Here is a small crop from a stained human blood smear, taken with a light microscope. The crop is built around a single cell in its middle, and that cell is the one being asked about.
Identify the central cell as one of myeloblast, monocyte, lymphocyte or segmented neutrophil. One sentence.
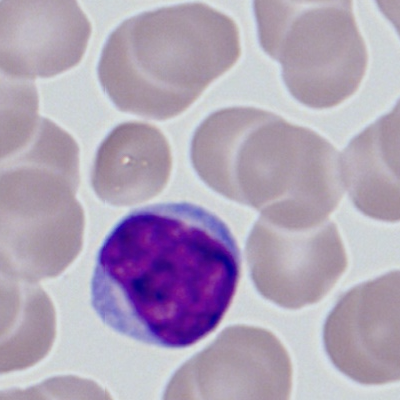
In the center of this field lies a lymphocyte.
